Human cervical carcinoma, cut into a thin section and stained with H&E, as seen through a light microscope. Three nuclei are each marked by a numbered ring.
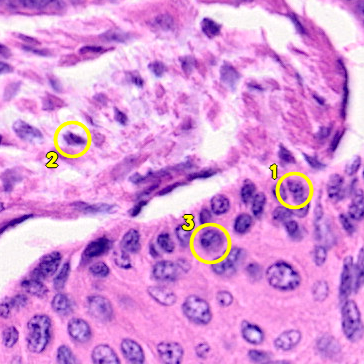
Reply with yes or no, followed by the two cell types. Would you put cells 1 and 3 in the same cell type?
Yes, in short, cells 1 and 3 are both squamous carcinoma cells.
